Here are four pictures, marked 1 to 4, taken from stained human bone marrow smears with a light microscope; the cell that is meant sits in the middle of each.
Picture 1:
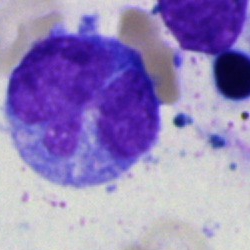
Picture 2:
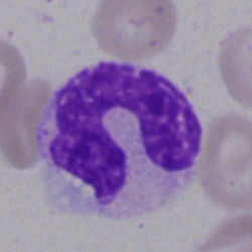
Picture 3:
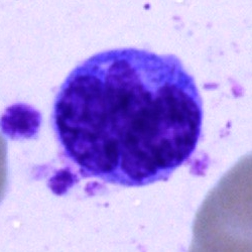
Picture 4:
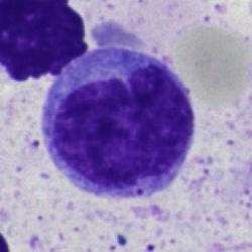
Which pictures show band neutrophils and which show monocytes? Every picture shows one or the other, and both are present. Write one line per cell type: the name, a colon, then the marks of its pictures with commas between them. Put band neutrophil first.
band neutrophil: 2
monocyte: 1, 3, 4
